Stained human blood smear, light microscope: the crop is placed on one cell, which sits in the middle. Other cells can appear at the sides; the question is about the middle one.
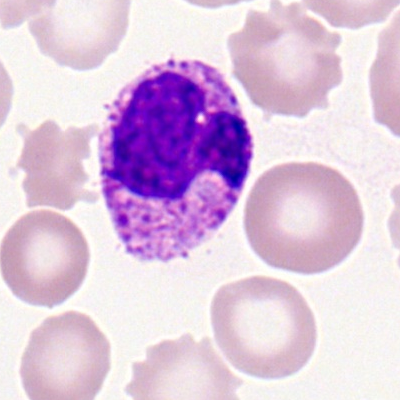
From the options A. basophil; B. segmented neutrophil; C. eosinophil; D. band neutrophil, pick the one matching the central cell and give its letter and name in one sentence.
Option A stands as correct, the central cell being a basophil.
